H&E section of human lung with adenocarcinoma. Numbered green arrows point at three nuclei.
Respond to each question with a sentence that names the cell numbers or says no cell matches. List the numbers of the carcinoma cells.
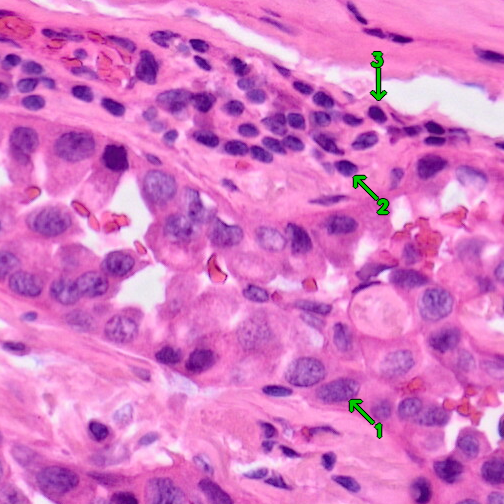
Cell 1 is the only numbered cell that is a carcinoma cell.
